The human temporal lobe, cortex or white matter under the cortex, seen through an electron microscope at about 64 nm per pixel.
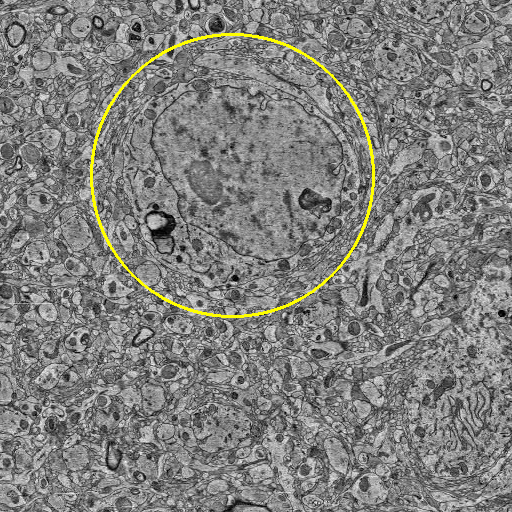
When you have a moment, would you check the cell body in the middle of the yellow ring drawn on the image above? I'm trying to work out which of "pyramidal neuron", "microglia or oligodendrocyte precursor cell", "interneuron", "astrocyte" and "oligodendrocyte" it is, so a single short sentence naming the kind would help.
This cell body belongs to a pyramidal neuron.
